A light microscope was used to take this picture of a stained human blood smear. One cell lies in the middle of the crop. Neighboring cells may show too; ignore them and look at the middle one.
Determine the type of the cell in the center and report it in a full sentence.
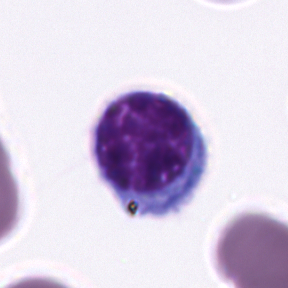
In the central position of this crop, the cell is a plasma cell.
